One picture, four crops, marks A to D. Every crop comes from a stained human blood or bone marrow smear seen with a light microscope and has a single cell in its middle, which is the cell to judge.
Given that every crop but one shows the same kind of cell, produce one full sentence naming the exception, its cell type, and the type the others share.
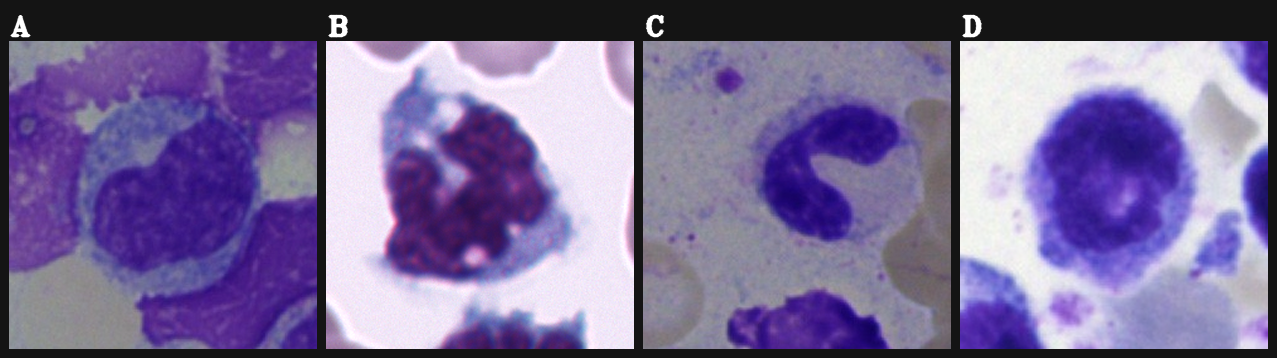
Crop C breaks the pattern as a band neutrophil; the other crops all contain monocytes.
